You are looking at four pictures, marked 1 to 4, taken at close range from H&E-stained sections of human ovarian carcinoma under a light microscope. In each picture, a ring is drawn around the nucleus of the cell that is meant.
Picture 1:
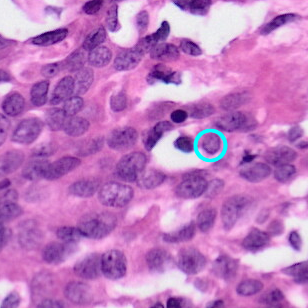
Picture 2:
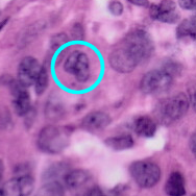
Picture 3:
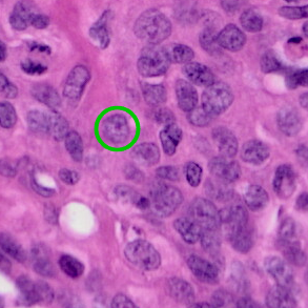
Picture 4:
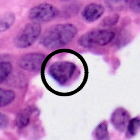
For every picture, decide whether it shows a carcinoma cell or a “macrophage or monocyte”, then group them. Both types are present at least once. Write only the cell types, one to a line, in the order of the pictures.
macrophage or monocyte
macrophage or monocyte
carcinoma cell
carcinoma cell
